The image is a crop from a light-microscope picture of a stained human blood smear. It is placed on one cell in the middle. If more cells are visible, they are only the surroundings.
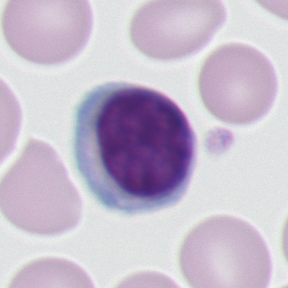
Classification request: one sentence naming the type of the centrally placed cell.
Looking at the middle of the crop, the cell there is a typical lymphocyte.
